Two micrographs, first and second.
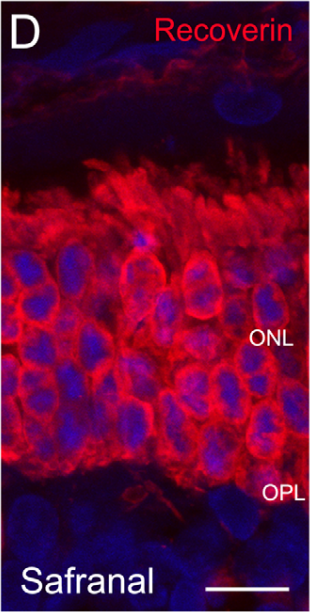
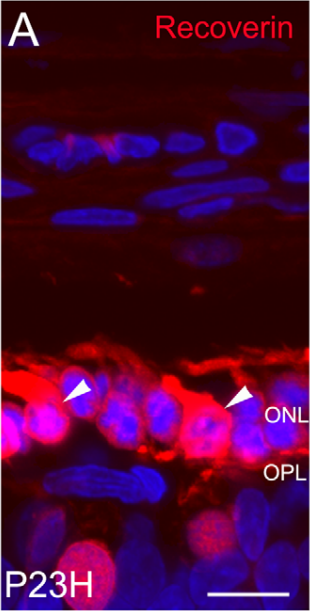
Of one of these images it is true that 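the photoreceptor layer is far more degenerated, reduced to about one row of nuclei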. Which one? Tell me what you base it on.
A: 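Second image: the outer nuclear layer is a single row of nuclei with only short red processes above.
The second image.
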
